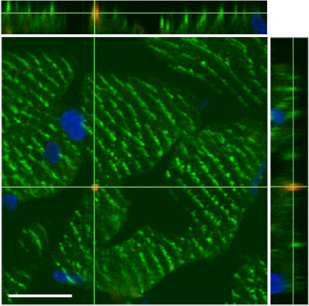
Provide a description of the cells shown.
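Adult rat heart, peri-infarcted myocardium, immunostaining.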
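Blue oval nuclei lie within and between the cells. A pair of thin crossing lines marks a single small bright red dot located among the muscle cells; strips along the top and right edge show the same spot in side views through the depth of the section, where it appears as a short red streak.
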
